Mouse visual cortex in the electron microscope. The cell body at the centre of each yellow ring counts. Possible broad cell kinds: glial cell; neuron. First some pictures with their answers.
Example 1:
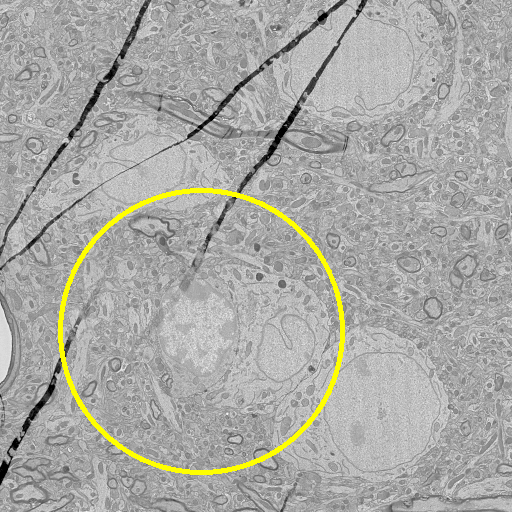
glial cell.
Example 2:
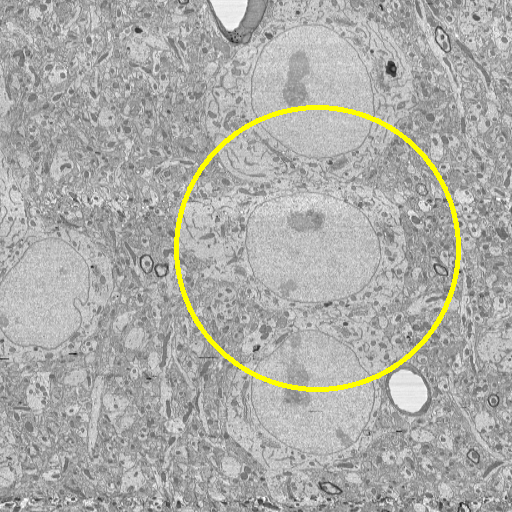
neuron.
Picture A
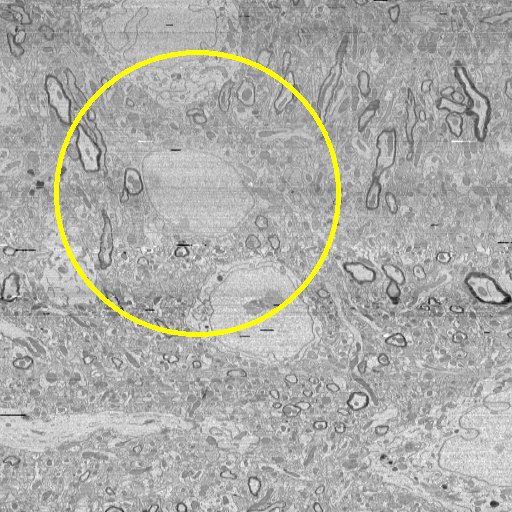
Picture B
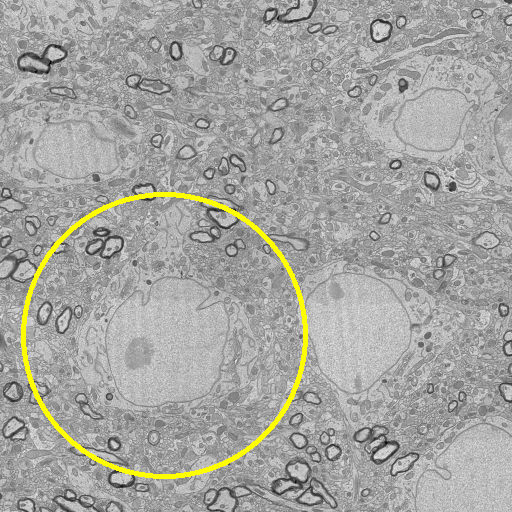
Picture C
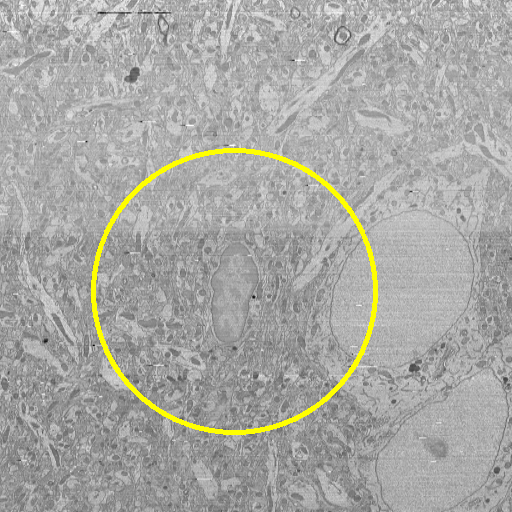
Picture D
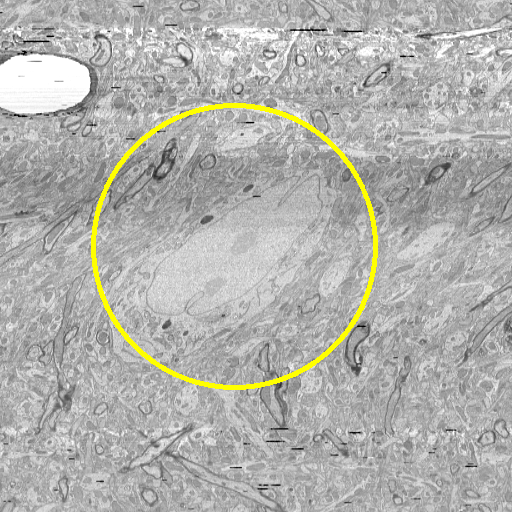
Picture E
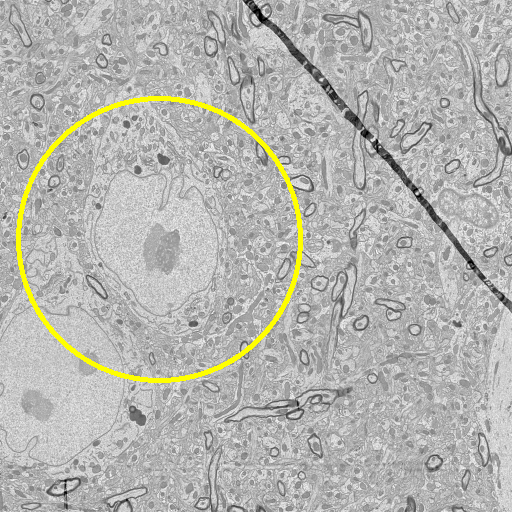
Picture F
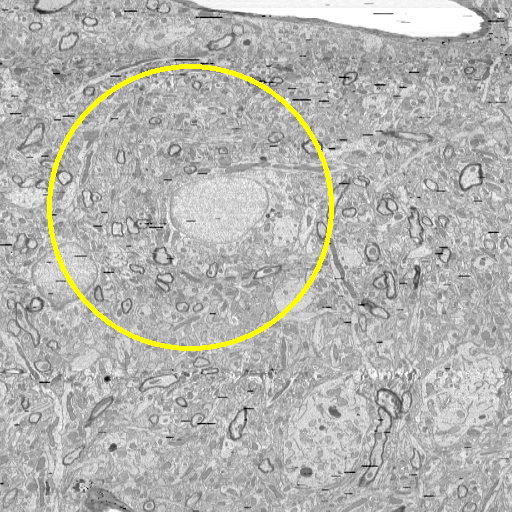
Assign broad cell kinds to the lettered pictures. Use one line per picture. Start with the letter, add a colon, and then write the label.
A: glial cell.
B: neuron.
C: glial cell.
D: neuron.
E: neuron.
F: glial cell.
